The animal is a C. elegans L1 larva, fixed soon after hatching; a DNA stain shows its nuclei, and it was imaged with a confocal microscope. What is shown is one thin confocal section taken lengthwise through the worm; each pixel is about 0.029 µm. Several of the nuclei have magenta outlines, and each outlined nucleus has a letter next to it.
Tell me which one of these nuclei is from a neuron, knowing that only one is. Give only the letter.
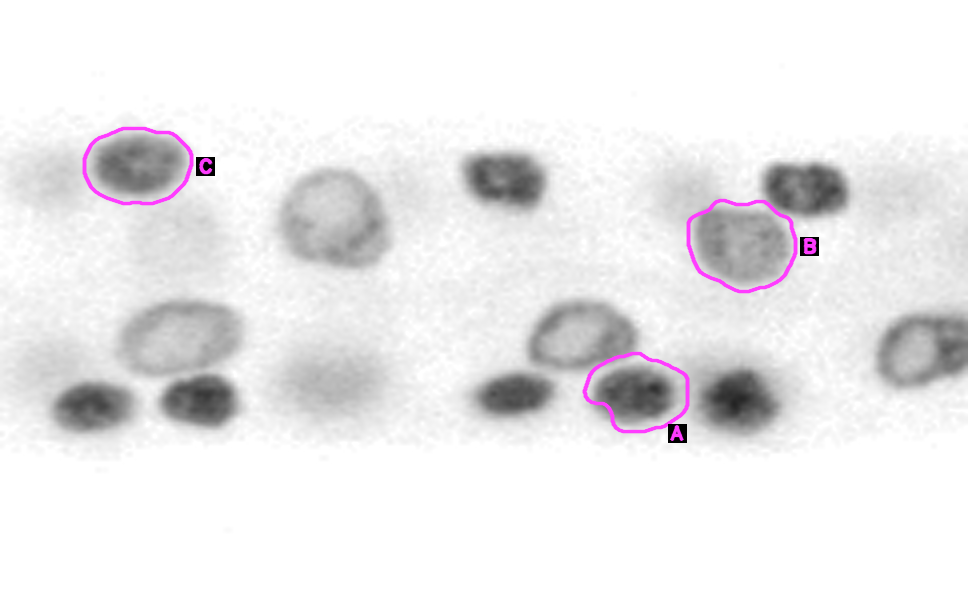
A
